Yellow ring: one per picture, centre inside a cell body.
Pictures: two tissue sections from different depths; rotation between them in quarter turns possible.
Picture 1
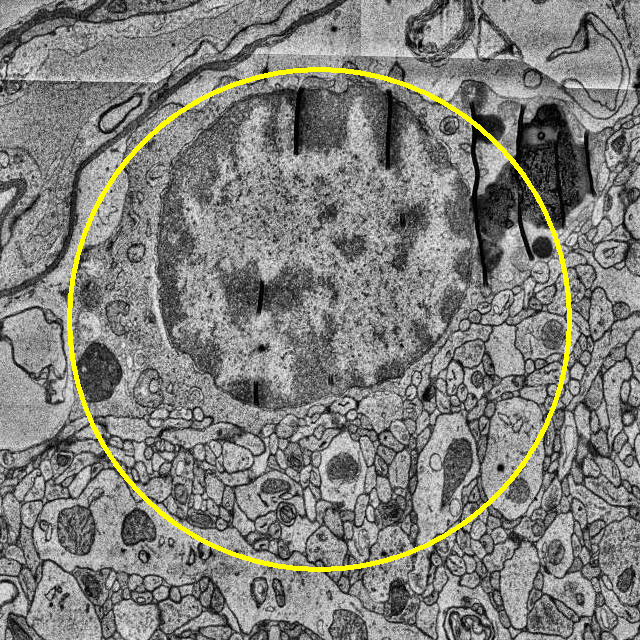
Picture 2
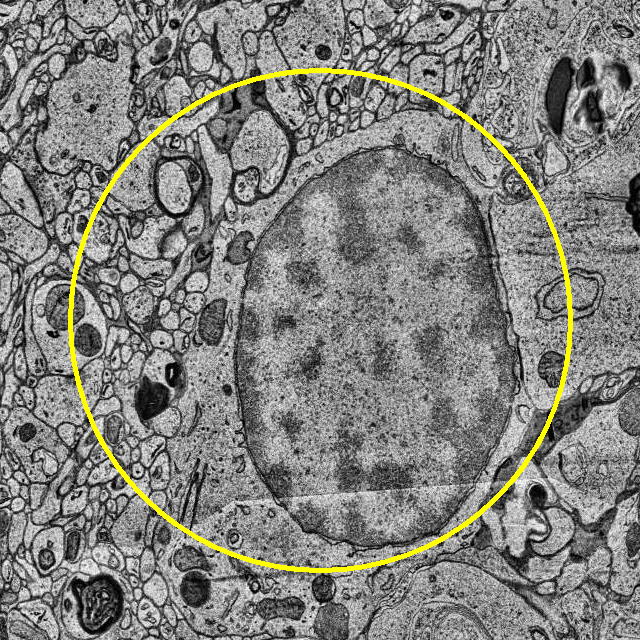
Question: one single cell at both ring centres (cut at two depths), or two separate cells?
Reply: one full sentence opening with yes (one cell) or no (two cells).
No, the marked cells are two, not one.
